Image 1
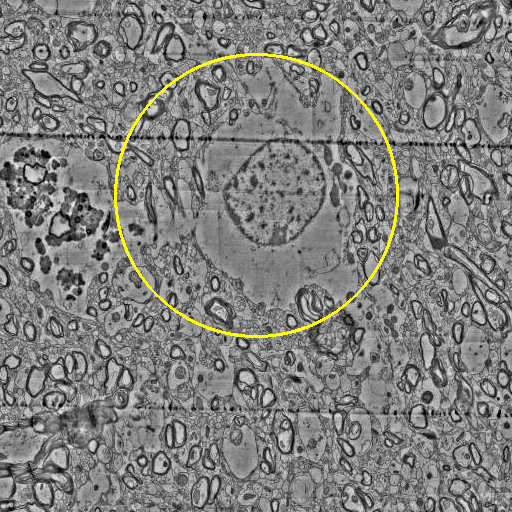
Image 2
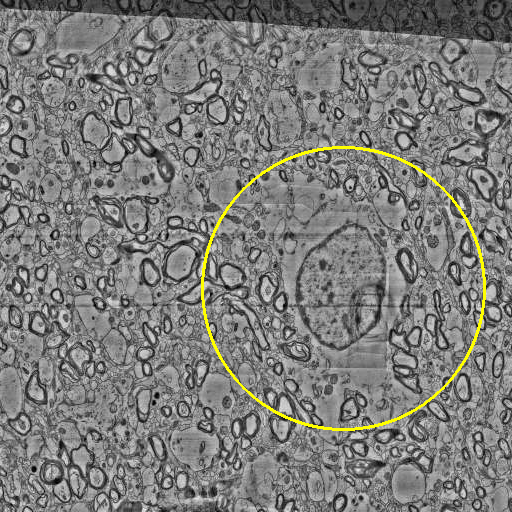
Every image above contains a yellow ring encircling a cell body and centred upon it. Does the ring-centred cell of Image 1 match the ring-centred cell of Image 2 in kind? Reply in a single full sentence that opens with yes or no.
Yes, the cell at the ring's centre in Image 1 is the same kind as that in Image 2.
